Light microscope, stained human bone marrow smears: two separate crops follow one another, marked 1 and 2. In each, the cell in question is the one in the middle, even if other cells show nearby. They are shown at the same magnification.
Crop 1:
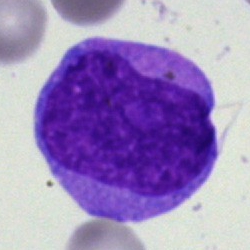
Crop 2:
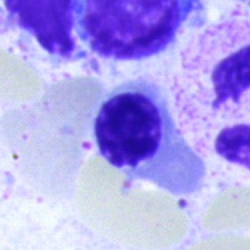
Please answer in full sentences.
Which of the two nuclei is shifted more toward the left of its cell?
Seen within its cell, the nucleus in crop 2 lies further toward the left.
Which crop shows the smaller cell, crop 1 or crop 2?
Smaller is the cell in crop 2, and the other is about 3 times as large in area.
